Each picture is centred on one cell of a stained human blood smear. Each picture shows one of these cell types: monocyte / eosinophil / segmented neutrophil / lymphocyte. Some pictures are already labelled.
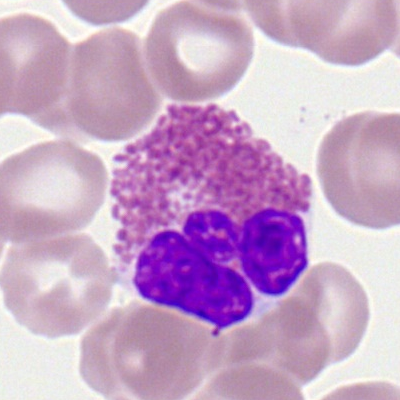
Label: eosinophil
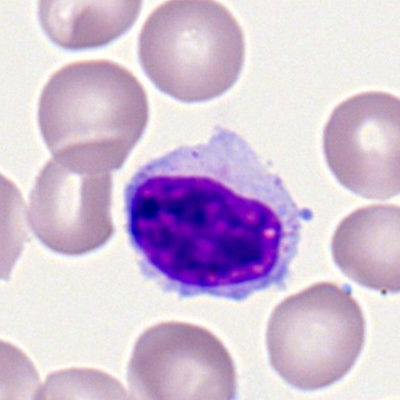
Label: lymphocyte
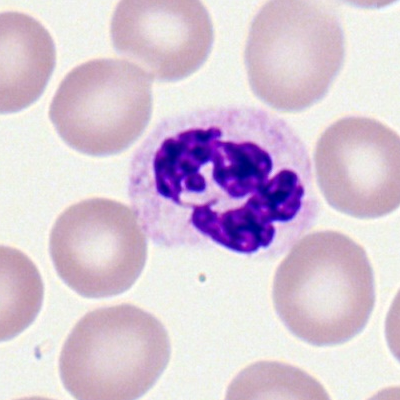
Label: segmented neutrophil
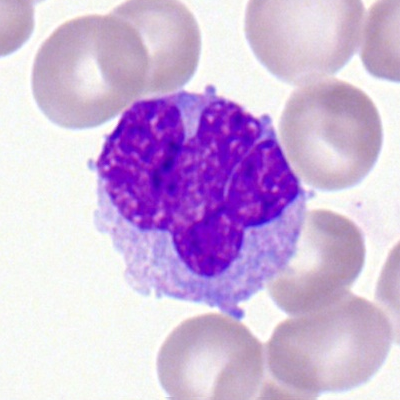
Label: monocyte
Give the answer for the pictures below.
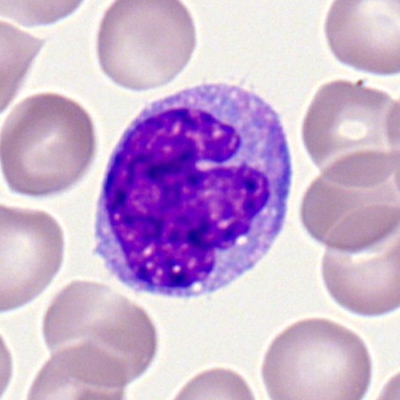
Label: monocyte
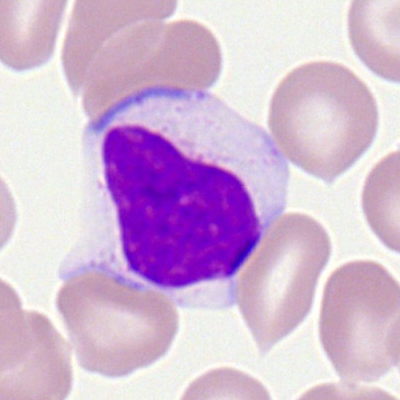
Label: lymphocyte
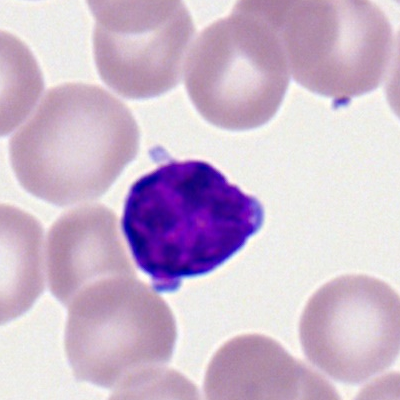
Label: lymphocyte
